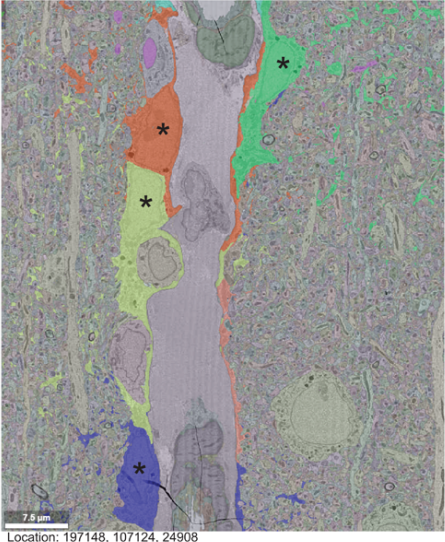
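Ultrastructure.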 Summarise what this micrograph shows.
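The vessel runs vertically through the middle of the field, and several astrocyte cell bodies, each shaded a different colour, sit pressed directly against its wall rather than out in the neuropil. These cell bodies are flattened along the vessel and extend thin sheets of cytoplasm along the wall, so the somas themselves form the covering of the vessel. Around them lies dense neuropil made of many small cross-sectioned profiles.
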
